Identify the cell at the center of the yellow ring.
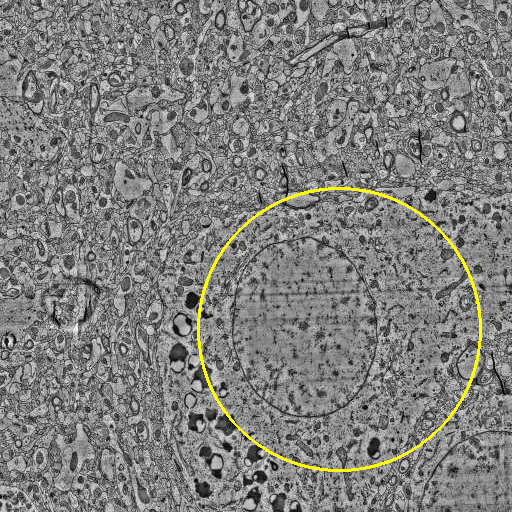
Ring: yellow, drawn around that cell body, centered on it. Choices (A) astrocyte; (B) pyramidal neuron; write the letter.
B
